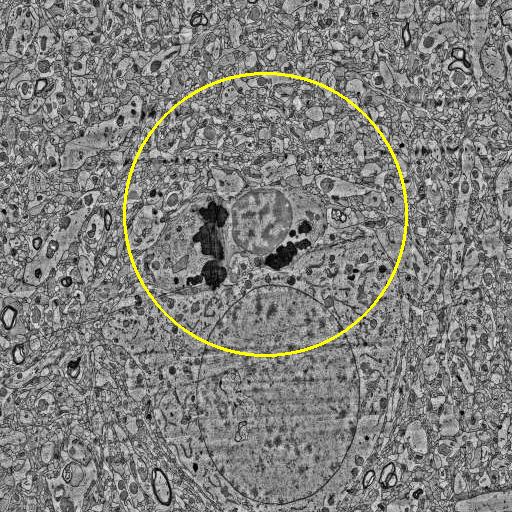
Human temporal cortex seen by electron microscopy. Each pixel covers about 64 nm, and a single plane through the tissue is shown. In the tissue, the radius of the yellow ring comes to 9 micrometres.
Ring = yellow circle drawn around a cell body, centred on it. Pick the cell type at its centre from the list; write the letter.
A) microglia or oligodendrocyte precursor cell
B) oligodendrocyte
B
